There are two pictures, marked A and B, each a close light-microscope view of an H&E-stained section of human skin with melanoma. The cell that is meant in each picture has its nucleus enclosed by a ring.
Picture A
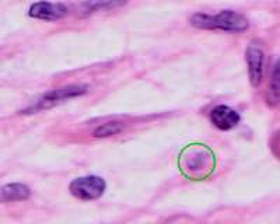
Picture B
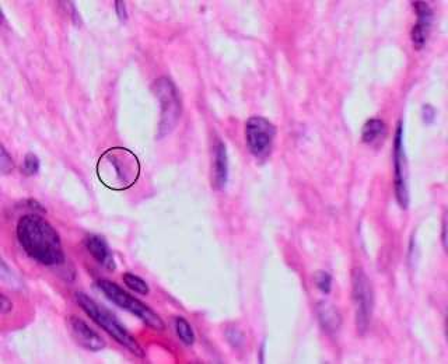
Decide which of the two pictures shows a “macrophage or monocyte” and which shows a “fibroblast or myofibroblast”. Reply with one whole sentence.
Picture A is of a “macrophage or monocyte”, and picture B is of a “fibroblast or myofibroblast”.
